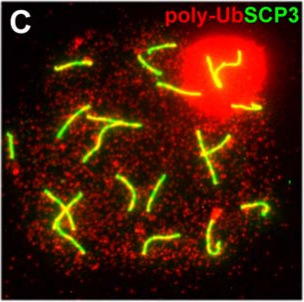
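This is a spread nucleus of a spermatocyte with its meiotic chromosomes, each paired chromosome seen as a short, thick green axis of the synaptonemal complex. The axes are fully paired and fairly condensed, and many carry yellow to red coating where the red signal overlaps the green. A fine red speckling fills the whole nucleus, and in one corner a large, bright red cloud surrounds a few green axes.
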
